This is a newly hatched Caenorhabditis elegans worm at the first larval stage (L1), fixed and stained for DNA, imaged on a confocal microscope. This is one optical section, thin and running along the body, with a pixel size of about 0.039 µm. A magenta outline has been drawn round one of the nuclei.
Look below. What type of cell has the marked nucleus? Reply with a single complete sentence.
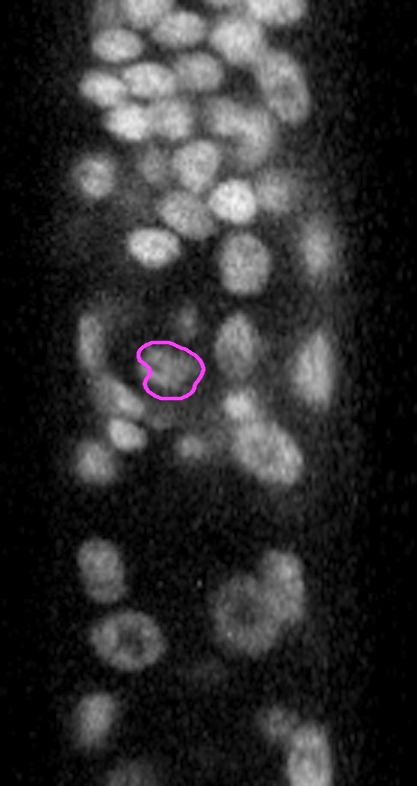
The marked nucleus belongs to a pharyngeal gland cell.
